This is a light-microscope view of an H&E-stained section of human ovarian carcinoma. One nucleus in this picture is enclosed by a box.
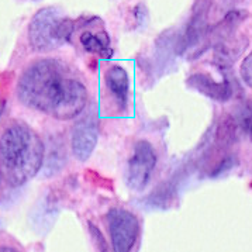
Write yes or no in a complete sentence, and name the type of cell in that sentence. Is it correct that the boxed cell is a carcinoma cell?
No, instead of a carcinoma cell, the boxed cell is a macrophage or monocyte.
